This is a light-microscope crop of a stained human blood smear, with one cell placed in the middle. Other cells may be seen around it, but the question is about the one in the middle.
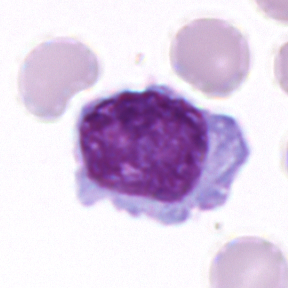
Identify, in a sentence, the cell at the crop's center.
The identification for the central cell is a plasma cell.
